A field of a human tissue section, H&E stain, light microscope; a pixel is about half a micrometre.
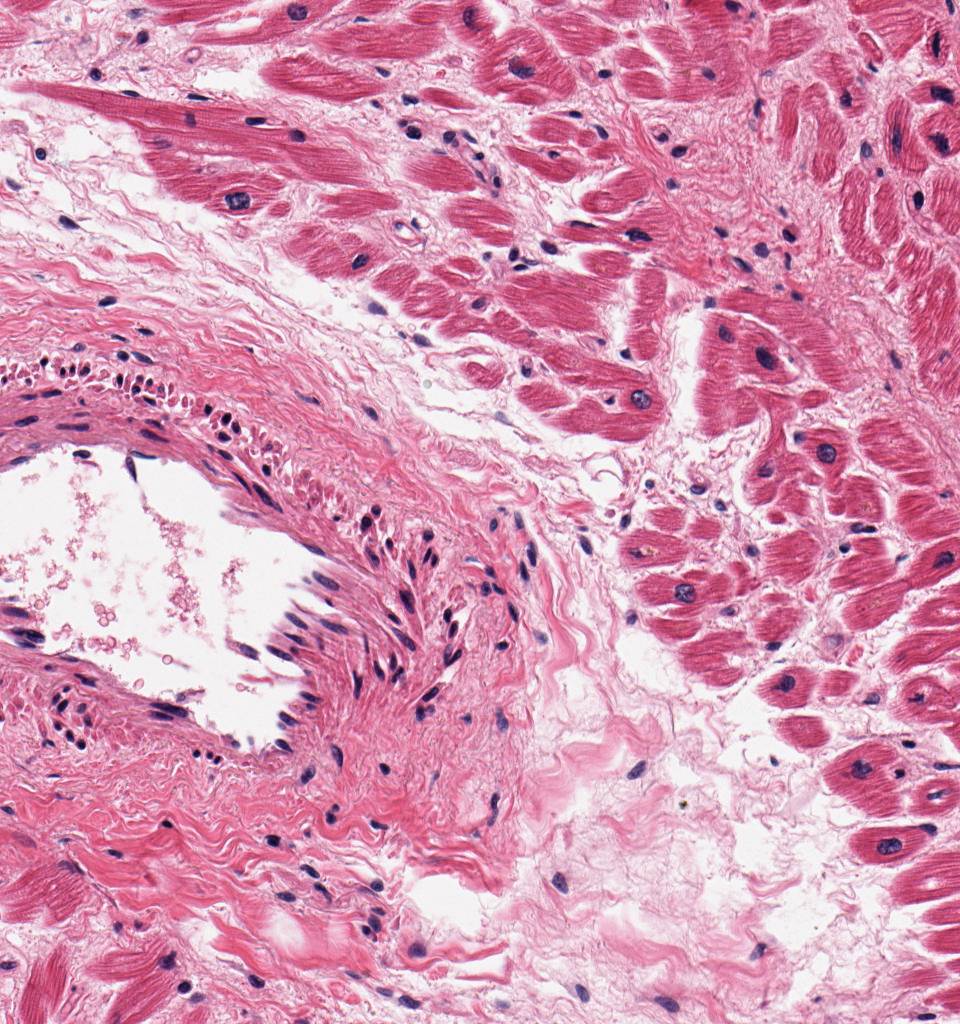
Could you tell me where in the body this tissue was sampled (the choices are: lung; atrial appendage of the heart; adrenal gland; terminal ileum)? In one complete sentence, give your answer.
The sample on this slide was obtained from the atrial appendage of the heart.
